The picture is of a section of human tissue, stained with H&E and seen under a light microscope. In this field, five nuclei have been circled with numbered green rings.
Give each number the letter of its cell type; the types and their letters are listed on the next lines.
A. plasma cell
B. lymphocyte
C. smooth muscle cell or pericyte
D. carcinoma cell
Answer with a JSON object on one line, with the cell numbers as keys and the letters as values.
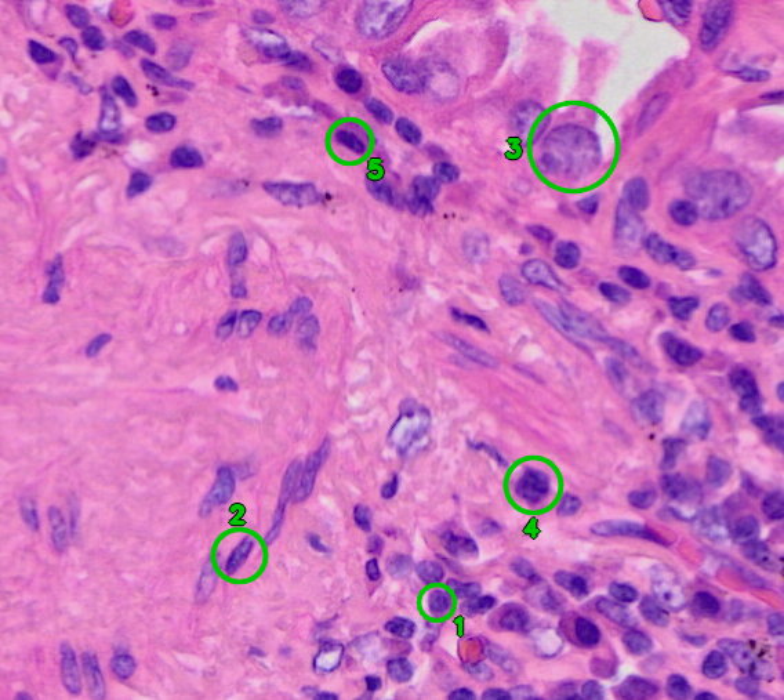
{"1": "B", "2": "C", "3": "D", "4": "A", "5": "A"}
